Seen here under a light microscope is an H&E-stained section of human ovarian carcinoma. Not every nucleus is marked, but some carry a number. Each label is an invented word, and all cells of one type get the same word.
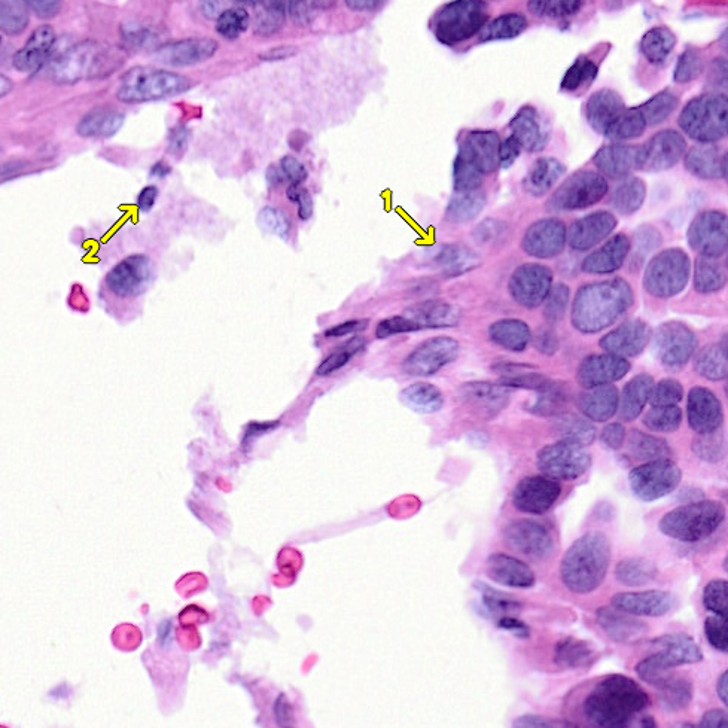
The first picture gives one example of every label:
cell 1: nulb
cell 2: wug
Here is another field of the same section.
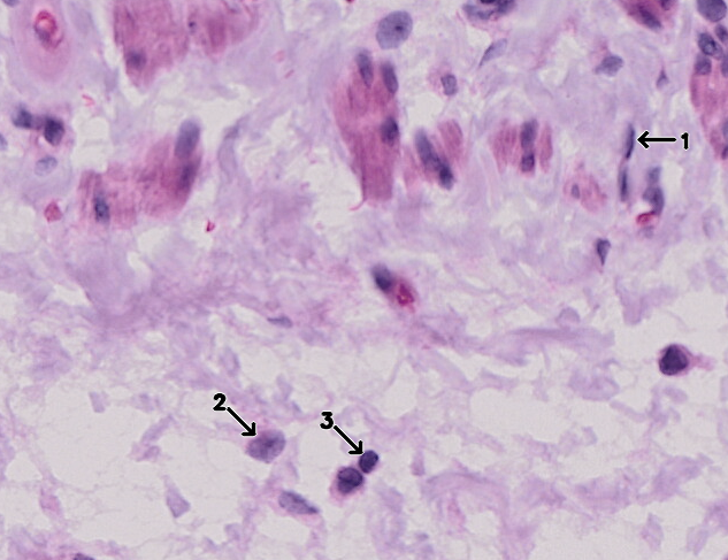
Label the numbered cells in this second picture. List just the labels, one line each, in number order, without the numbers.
nulb
nulb
wug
